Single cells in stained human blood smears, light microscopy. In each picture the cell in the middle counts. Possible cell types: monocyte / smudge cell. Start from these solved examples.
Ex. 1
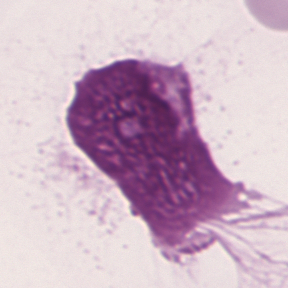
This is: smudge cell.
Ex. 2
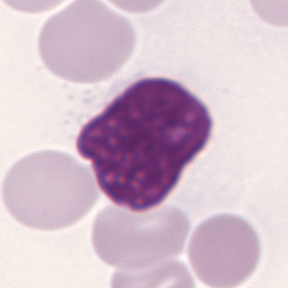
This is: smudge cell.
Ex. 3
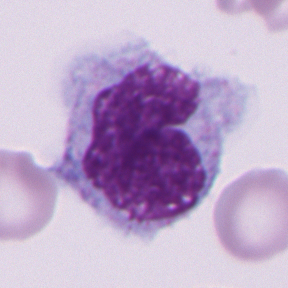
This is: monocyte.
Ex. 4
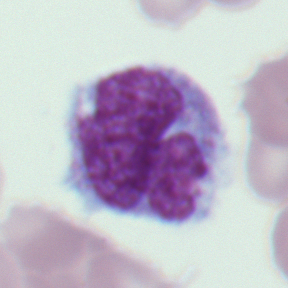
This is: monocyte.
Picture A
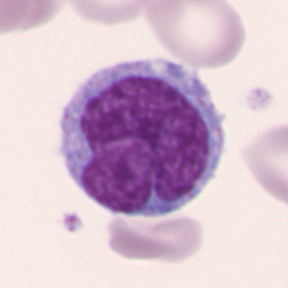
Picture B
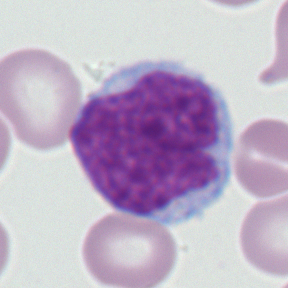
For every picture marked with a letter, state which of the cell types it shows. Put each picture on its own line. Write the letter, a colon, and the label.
A: monocyte.
B: monocyte.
